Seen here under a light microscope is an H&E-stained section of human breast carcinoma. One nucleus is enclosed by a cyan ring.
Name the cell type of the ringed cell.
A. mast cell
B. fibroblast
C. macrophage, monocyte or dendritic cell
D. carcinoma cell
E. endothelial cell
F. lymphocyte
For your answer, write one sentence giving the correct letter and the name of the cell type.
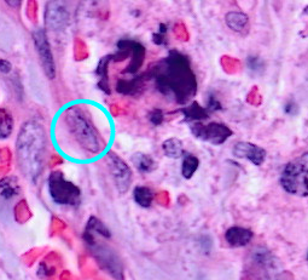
The correct option, E, describes the ringed cell as an endothelial cell.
